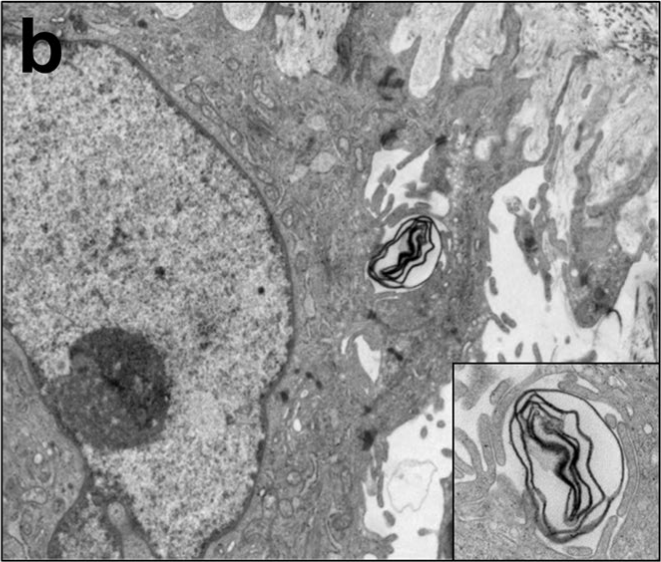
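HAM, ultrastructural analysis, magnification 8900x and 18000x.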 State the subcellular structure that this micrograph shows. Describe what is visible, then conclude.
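Lamellar body-like structures. A membrane-bound vacuole in the cytoplasm holds stacked, concentric dark membrane lamellae. The inset shows the same structure enlarged, with layered wavy lamellae inside a pale rim.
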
